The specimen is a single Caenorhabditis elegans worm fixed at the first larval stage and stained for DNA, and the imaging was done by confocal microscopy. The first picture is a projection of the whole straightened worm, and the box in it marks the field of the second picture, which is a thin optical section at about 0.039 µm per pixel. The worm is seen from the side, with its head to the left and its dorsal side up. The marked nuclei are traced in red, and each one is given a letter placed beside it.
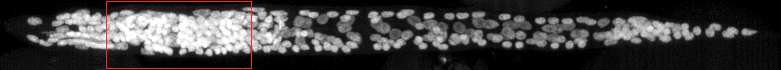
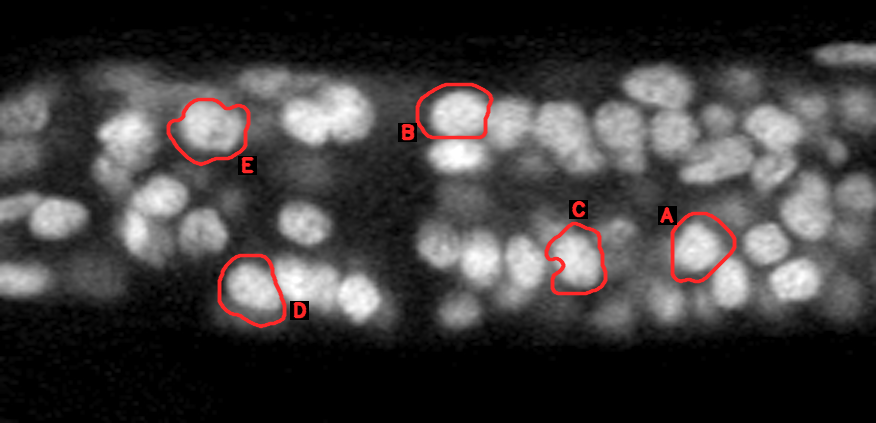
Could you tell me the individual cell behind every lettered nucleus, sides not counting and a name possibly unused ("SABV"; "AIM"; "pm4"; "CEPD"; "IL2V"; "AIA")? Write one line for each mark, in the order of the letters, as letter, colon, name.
A: AIM
B: CEPD
C: AIA
D: IL2V
E: pm4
